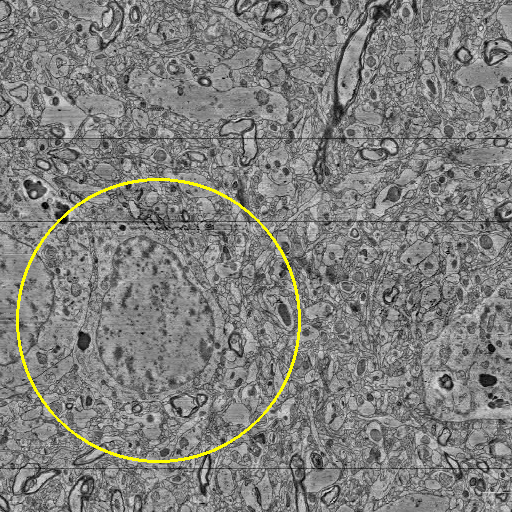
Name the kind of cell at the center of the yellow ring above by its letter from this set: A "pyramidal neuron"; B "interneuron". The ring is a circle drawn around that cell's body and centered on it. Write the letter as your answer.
B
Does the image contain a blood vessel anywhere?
No, none is visible.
